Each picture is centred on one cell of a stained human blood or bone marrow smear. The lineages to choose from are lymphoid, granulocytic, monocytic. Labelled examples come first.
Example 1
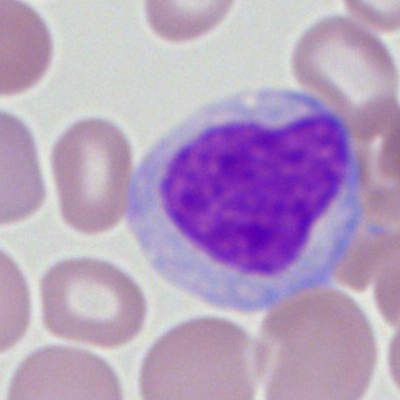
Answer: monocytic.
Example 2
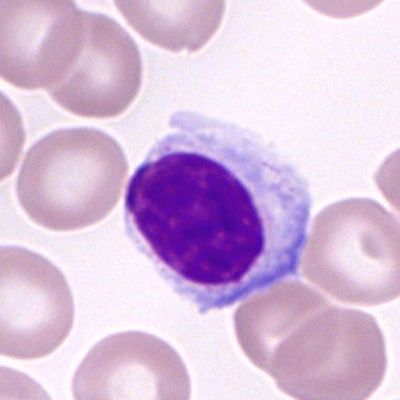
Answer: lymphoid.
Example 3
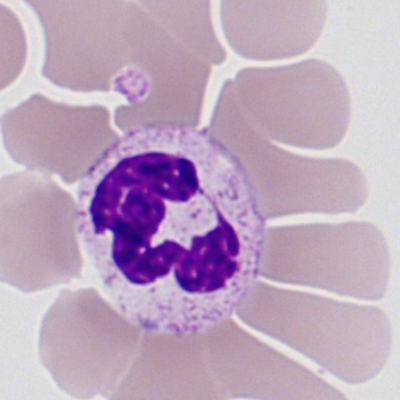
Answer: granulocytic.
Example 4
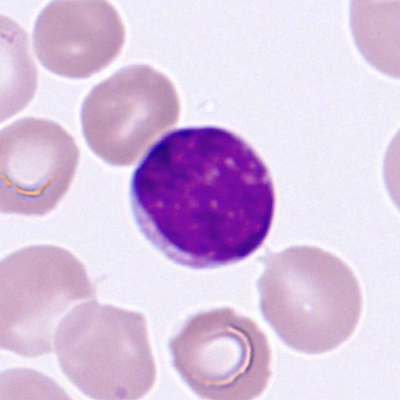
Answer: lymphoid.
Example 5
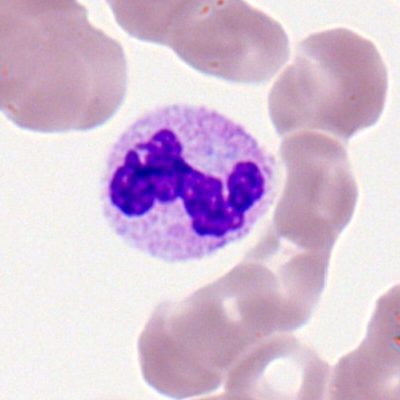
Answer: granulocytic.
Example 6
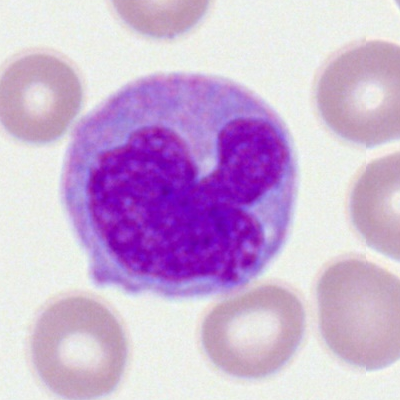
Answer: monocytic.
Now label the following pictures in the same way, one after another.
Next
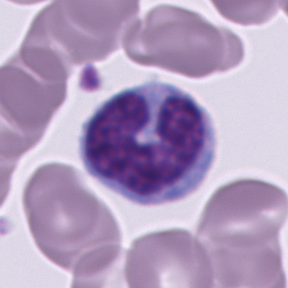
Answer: monocytic.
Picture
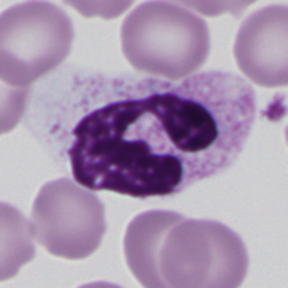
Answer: granulocytic.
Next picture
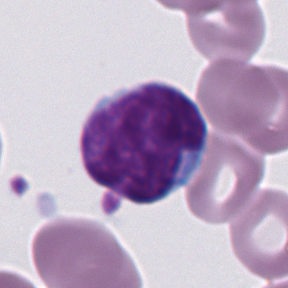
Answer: lymphoid.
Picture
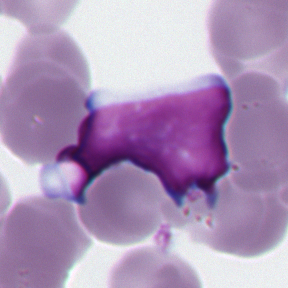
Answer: lymphoid.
